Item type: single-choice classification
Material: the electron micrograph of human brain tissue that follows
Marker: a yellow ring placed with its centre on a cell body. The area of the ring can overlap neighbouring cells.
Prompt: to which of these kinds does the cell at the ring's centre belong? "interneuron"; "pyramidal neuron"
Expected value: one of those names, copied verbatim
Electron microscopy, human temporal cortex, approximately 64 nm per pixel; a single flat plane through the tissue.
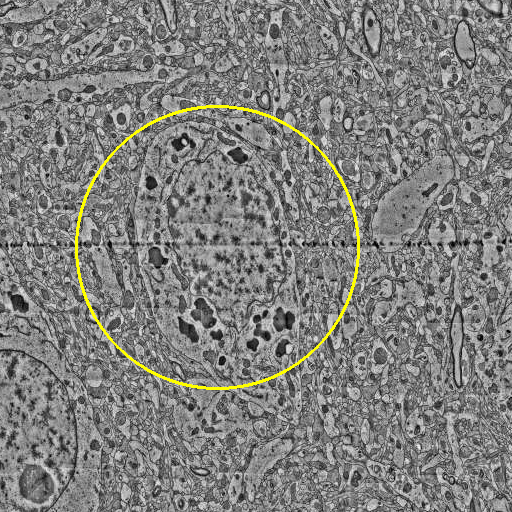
interneuron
